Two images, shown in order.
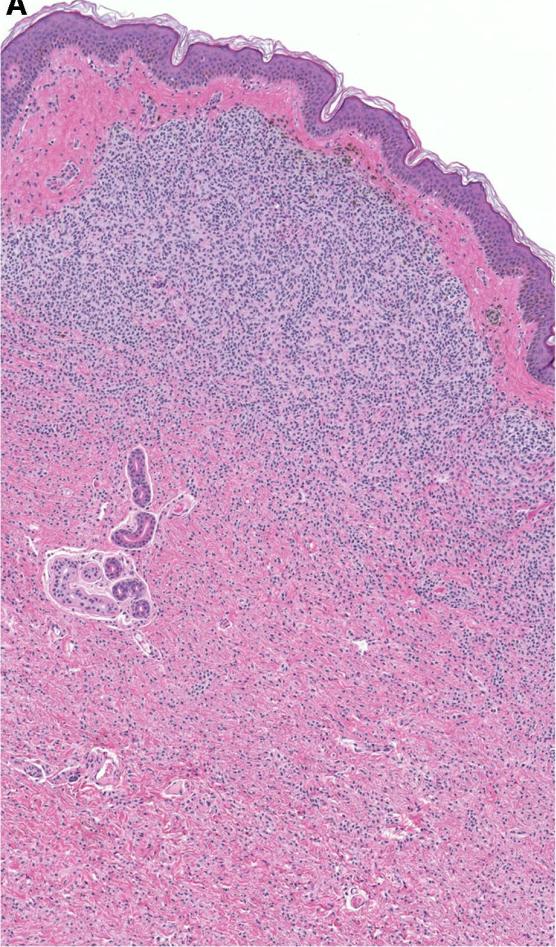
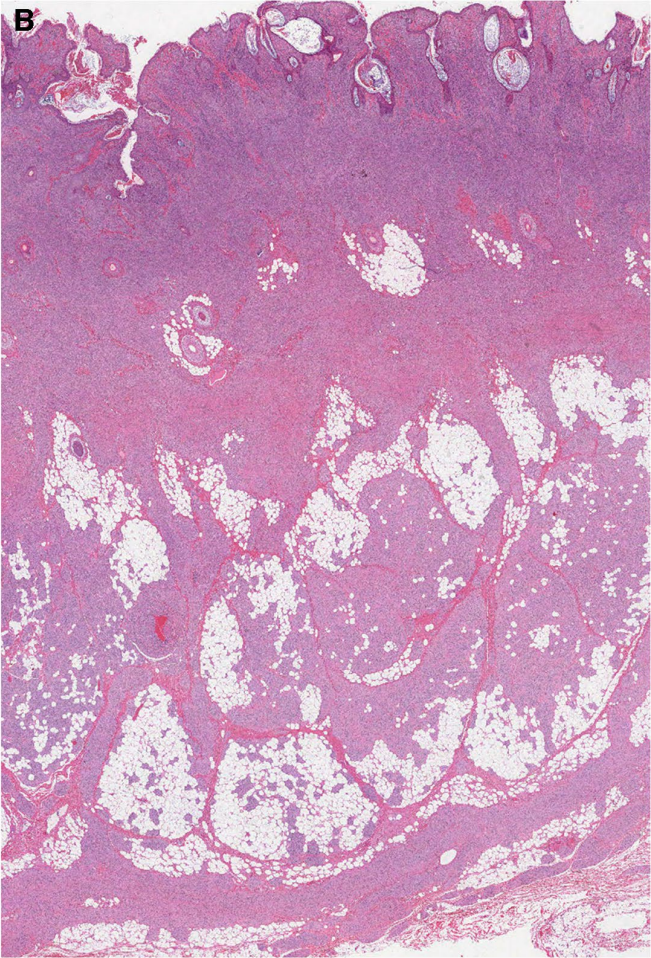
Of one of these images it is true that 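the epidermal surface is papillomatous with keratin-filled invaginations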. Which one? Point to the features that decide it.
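Second image: the surface undulates with projections and keratin-filled cysts. First image: the epidermis is thin and fairly flat with little rete ridge development.
Conclusion: the second image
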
